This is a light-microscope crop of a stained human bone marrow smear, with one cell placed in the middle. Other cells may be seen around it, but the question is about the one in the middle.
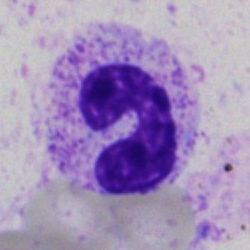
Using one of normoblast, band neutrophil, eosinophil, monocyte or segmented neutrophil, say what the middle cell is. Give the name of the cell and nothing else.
band neutrophil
